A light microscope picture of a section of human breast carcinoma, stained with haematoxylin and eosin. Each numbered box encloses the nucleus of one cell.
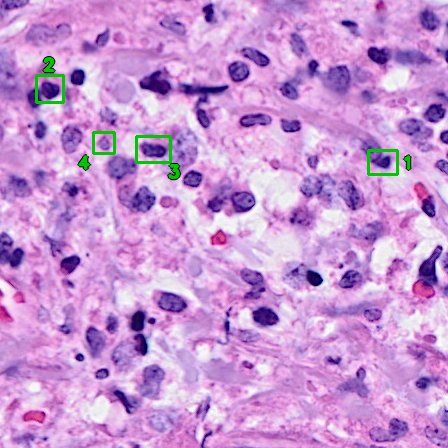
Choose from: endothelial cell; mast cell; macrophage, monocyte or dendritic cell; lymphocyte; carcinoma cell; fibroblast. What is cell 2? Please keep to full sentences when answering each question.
The cell marked with the number 2 is a lymphocyte.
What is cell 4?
Cell 4 in the field of view is a macrophage, monocyte or dendritic cell.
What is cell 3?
The cell identified by the number 3 is a lymphocyte.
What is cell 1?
The one labeled 1 is a lymphocyte, to put it simply.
